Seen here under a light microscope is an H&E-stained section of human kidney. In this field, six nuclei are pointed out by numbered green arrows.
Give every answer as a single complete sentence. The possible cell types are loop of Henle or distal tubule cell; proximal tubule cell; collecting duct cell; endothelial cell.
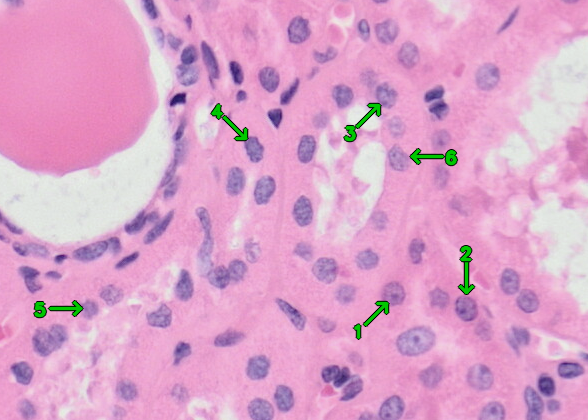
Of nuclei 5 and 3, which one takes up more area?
Nucleus 3 is the larger one, covering about 1.5 times the area of nucleus 5.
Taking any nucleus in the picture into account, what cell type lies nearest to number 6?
It is a loop of Henle or distal tubule cell whose nucleus is nearest to number 6.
